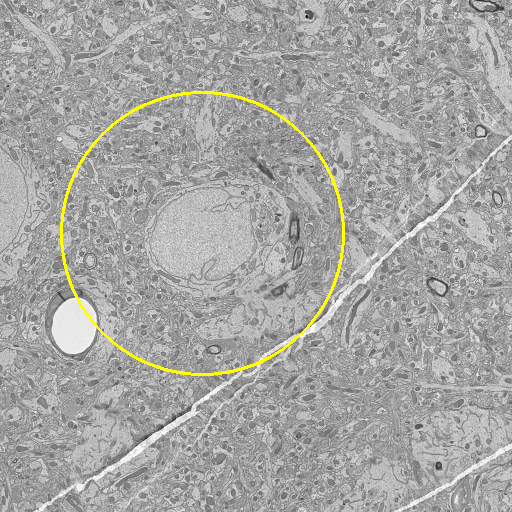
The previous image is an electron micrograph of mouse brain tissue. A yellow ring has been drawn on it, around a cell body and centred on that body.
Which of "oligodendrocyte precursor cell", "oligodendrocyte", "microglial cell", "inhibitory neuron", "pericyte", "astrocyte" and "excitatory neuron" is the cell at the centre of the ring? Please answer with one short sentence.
The cell body at the centre of the ring belongs to an inhibitory neuron.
